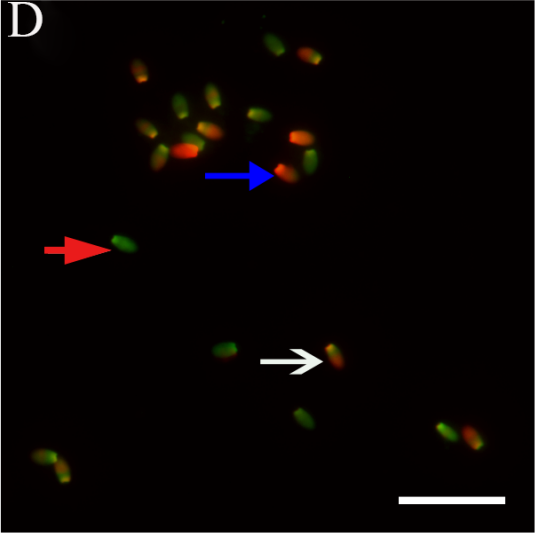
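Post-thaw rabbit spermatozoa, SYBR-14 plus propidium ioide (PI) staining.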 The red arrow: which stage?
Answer: membrane integrity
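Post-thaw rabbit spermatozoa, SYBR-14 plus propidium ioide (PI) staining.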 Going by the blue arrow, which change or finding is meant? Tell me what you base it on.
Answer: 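The marked sperm head fluoresces mostly red. Little green is left in the marked head. The answer: membrane damaged.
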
